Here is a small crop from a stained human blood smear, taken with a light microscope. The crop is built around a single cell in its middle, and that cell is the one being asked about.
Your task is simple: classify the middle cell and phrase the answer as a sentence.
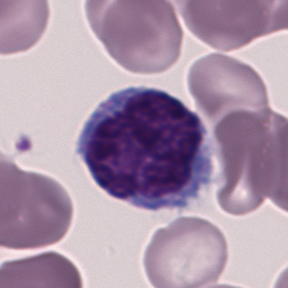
This crop has a monocyte at its centre.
